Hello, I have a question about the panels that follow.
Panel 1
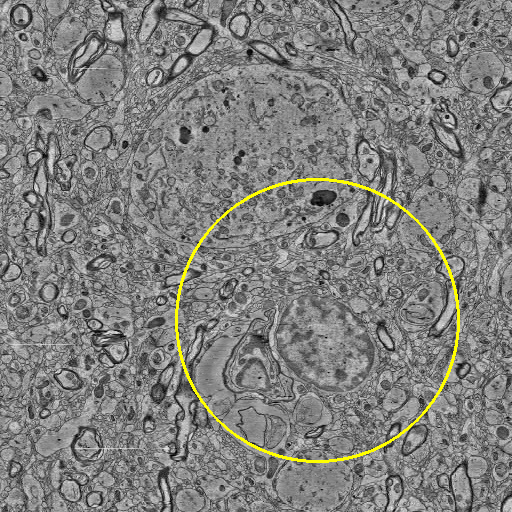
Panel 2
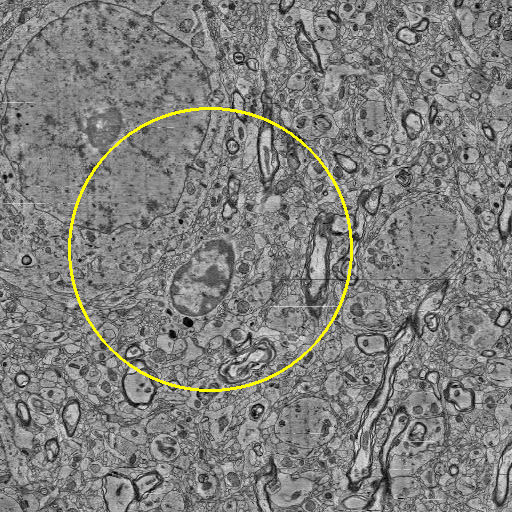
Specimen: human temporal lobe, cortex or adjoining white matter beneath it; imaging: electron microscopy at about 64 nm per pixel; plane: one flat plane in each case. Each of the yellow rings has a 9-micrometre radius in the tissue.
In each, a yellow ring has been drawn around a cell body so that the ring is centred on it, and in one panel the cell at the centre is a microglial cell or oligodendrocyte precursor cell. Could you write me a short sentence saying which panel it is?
It is Panel 2.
